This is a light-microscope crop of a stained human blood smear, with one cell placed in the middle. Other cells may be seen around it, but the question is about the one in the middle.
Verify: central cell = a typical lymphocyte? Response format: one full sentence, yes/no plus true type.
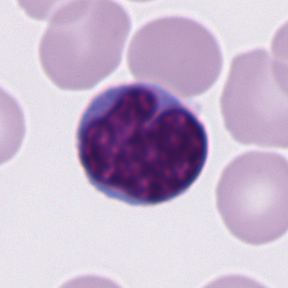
Yes, placed in the middle of the crop is a typical lymphocyte.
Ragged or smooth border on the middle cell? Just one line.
The border of this cell runs smooth and free of any projections.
